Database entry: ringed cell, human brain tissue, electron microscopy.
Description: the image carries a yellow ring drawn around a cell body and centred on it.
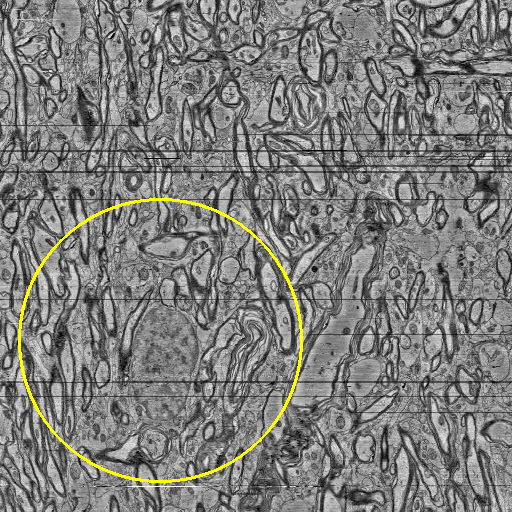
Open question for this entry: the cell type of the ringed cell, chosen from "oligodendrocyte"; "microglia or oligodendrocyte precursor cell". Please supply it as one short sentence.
The ringed cell is an oligodendrocyte.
